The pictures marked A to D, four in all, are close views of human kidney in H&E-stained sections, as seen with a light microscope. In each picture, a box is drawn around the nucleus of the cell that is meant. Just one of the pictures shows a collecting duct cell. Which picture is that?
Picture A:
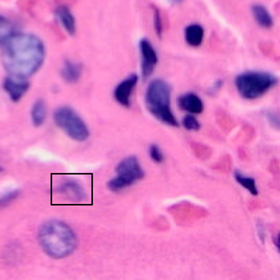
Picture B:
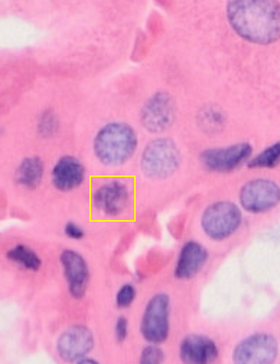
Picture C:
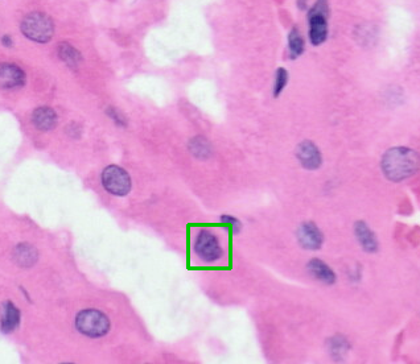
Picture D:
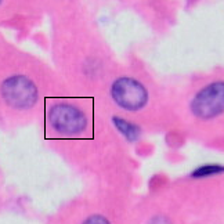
A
